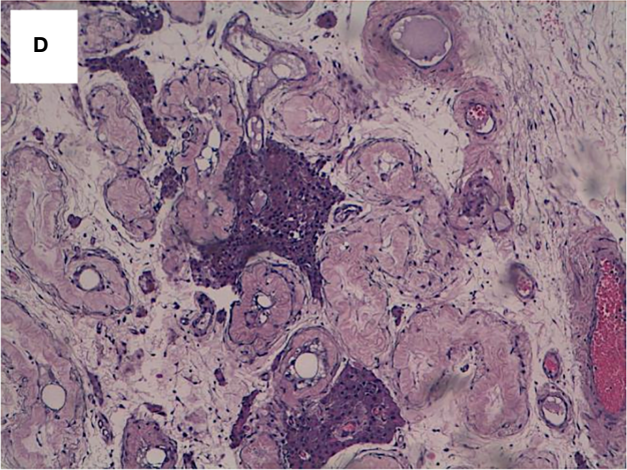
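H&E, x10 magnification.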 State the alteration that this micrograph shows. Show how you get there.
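Tubules are small with thick, pale pink hyalinized walls. Tubules hold few cells and little or no germ cell layer. Some tubules show only a small empty lumen. That points to this answer: tubular atrophy.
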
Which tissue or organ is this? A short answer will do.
Testis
